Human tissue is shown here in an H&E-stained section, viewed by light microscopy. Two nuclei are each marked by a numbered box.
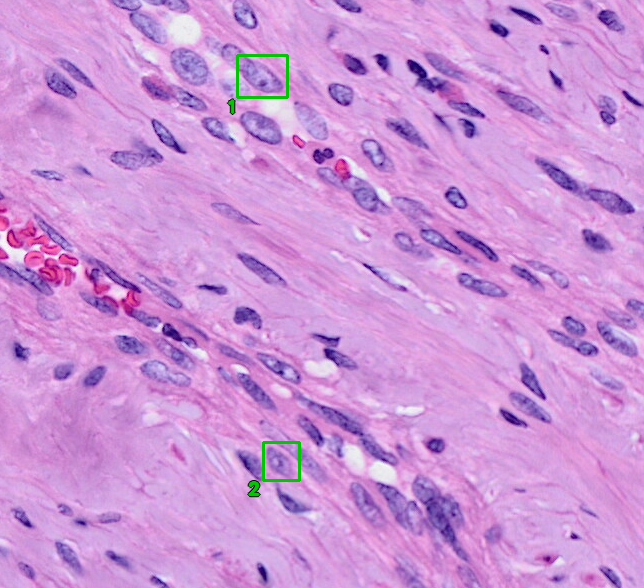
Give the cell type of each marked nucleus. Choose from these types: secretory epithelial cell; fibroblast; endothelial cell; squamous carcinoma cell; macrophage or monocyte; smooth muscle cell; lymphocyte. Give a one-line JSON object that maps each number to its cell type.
{"1": "endothelial cell", "2": "smooth muscle cell"}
